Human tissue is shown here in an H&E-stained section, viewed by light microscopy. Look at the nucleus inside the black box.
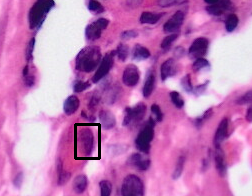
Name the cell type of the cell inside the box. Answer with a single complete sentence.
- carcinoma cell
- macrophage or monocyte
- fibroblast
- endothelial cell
The cell meant here is an endothelial cell.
